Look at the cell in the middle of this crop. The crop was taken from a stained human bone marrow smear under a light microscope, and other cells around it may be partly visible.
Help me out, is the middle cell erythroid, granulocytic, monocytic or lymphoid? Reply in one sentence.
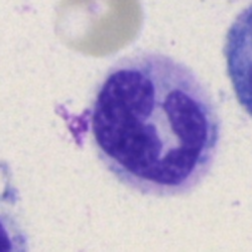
Our central cell here is part of the monocytic lineage.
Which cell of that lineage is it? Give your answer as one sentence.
The cell around which this crop is centred is a monocyte.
